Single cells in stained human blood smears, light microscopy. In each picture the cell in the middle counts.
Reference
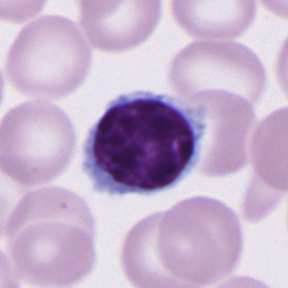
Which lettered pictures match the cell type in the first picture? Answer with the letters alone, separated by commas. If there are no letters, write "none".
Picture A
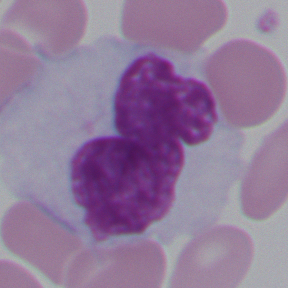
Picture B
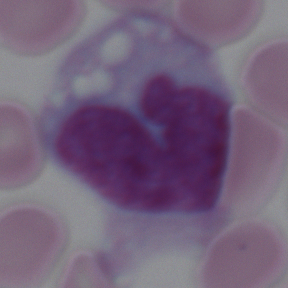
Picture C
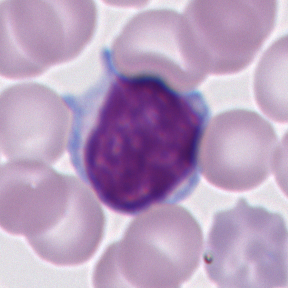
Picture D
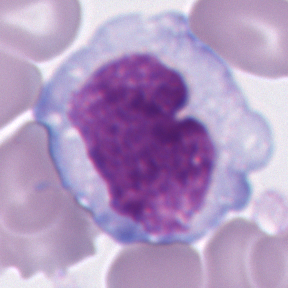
C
